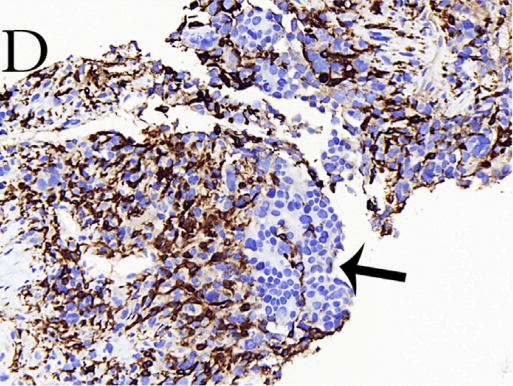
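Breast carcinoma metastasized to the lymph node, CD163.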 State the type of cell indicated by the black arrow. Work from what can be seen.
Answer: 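Epithelioid cells. The arrow points to a cohesive cluster of round to oval cells with blue nuclei. This cluster lacks the brown stain. The cells around it show dense brown staining.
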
